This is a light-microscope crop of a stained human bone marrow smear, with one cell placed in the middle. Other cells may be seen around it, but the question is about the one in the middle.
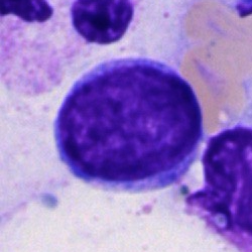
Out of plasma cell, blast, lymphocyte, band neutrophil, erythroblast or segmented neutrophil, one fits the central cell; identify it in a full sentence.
This crop's central cell is a blast.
